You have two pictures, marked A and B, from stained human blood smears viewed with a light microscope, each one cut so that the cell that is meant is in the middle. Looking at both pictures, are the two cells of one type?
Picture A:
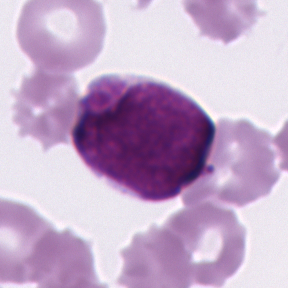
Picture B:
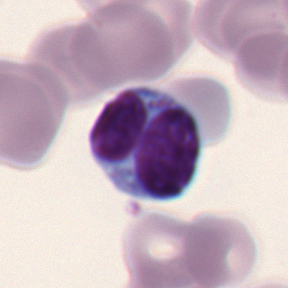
no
